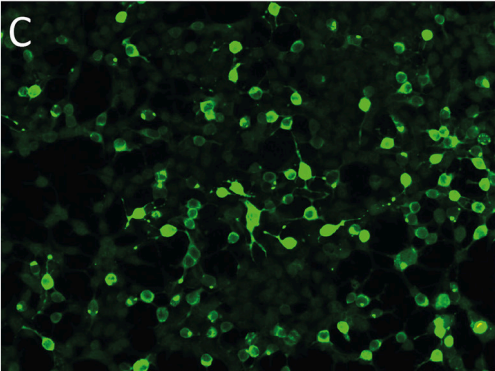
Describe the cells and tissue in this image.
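This shows cultured cells in which many, but not all, cells are brightly labelled green against a dark background. The labelled cells are mostly rounded or oval, and some send out thin branching processes that run between neighbouring cells. In several cells the green is stronger at the rim, giving a ring-like look, while others are filled evenly. Between the bright cells, fainter unlabelled cells form a dim background.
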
